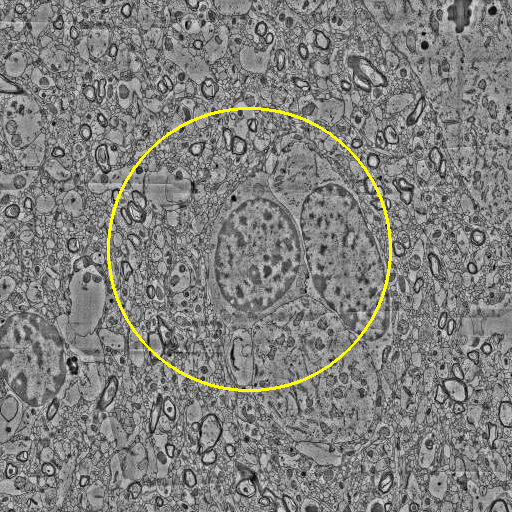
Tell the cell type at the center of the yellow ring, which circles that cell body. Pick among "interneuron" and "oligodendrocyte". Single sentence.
The ring is centered on the body of an oligodendrocyte.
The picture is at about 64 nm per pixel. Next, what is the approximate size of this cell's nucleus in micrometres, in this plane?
The nucleus has a long axis of about 7 micrometres and a short axis of about 5 micrometres in this plane.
